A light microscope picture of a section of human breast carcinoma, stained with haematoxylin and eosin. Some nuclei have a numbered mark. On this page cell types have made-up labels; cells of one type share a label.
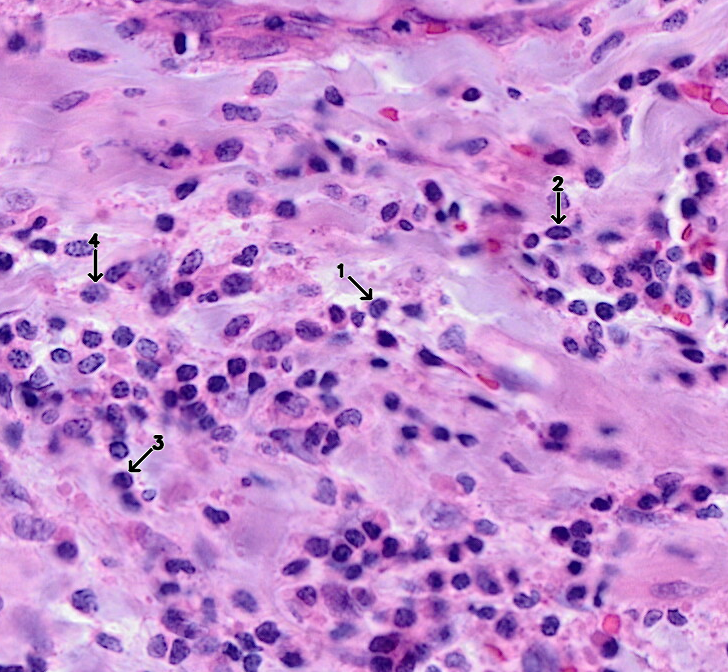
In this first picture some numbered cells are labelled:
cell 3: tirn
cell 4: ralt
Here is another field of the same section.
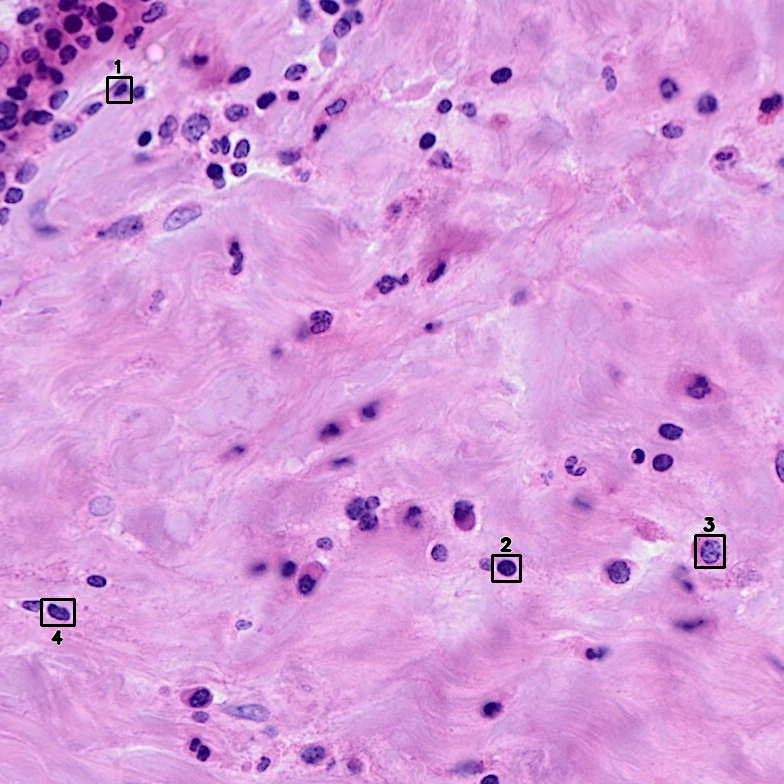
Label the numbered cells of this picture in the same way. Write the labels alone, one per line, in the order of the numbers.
tirn
tirn
ralt
tirn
